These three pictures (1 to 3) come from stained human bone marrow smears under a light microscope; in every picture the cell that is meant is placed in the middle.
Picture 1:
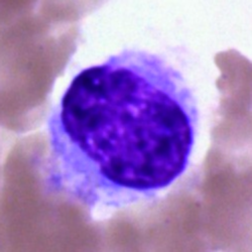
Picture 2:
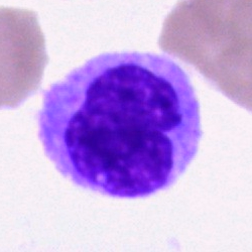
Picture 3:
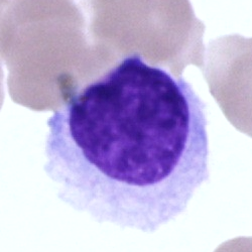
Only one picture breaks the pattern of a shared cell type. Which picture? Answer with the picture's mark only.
2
